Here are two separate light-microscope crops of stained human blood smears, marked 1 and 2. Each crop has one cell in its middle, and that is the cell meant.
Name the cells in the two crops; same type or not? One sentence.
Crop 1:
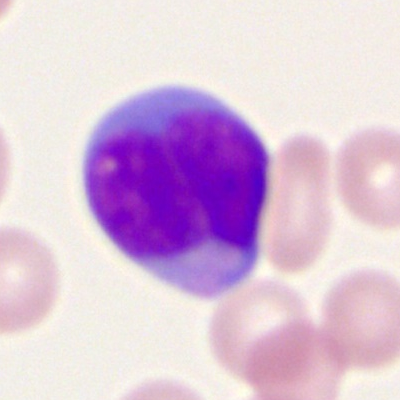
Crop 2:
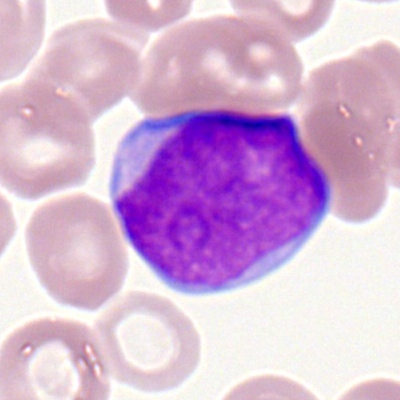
Yes, both crops show myeloblasts, with no exception.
